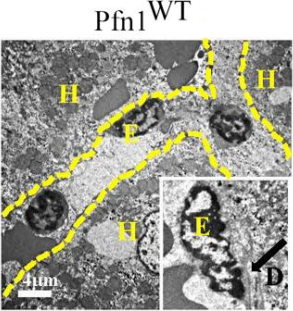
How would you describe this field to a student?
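An electron micrograph of liver with a long channel outlined by a dashed line running across between large cells with granular cytoplasm, the hepatocytes. Within the channel, flattened cells with dark, irregular, clumped nuclei line the wall; these are endothelial cells lining a sinusoid. The lumen is pale and finely granular. The inset enlarges one endothelial nucleus with dense chromatin at its rim, and beside it a thin gap separating the endothelial lining from the neighbouring hepatocyte, the space of Disse.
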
